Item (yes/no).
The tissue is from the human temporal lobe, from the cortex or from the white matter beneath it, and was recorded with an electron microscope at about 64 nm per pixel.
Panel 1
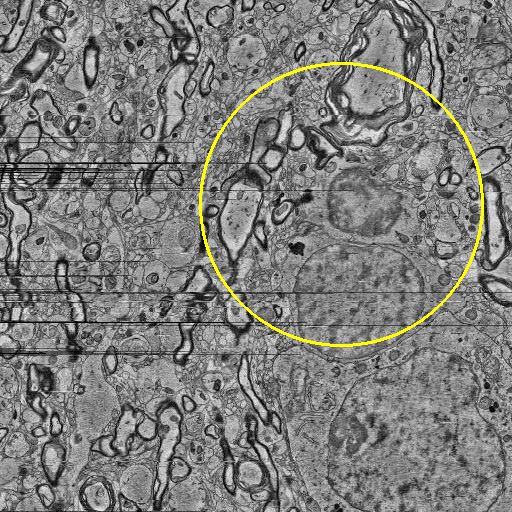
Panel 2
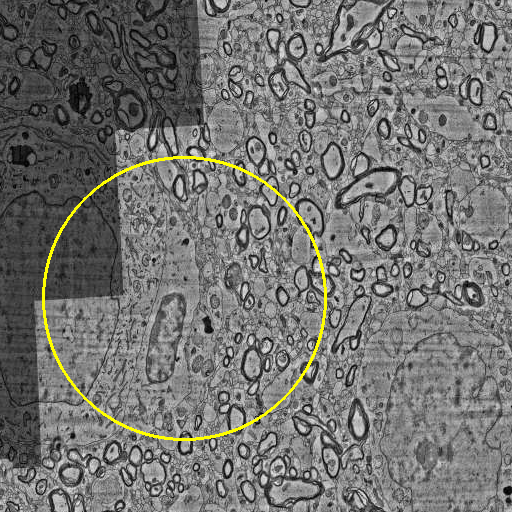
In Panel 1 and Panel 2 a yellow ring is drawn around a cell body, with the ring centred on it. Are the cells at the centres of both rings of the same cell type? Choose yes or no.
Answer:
yes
